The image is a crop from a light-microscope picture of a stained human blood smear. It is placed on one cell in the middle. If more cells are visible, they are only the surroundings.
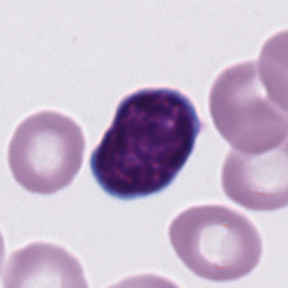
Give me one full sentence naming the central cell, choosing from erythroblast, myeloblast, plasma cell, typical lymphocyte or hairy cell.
Of the cells in this crop, the central one is a typical lymphocyte.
